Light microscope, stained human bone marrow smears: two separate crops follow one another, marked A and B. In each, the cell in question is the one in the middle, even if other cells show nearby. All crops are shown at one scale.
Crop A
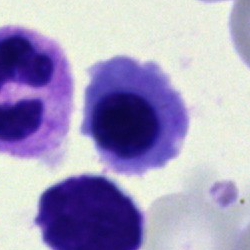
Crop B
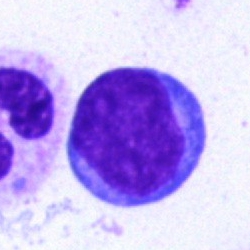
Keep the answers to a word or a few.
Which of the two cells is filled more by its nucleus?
B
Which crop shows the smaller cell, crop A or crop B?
A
